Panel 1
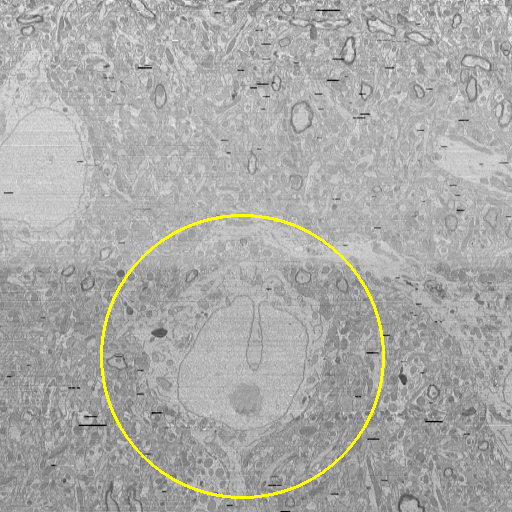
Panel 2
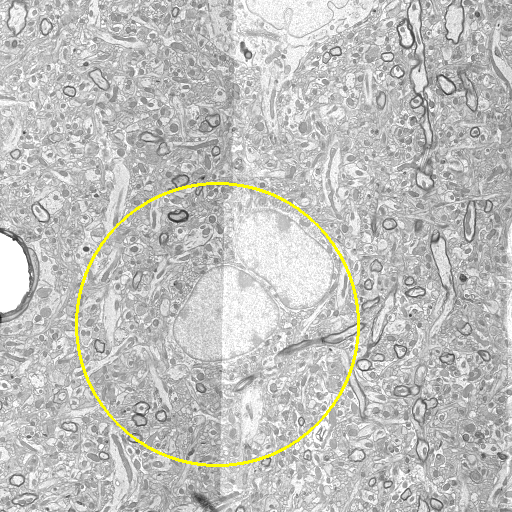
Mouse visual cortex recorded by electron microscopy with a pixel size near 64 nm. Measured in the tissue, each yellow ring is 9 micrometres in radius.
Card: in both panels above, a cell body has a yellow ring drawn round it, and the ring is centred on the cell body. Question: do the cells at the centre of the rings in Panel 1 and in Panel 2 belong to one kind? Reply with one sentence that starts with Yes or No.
No, the cells centred in the rings of Panel 1 and Panel 2 are two kinds of cell.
